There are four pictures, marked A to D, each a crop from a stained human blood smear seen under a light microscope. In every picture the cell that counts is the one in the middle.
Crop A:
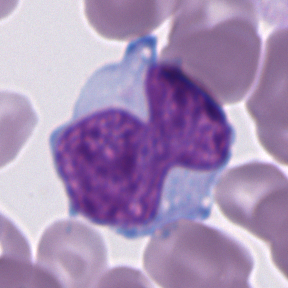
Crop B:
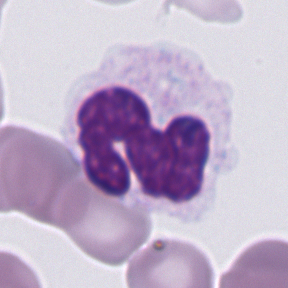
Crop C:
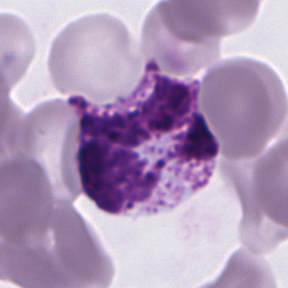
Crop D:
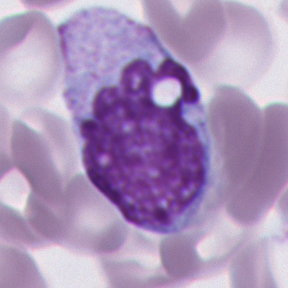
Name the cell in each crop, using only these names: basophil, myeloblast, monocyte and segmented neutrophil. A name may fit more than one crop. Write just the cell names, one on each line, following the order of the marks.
myeloblast
segmented neutrophil
basophil
monocyte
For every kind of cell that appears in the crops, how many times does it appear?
myeloblast: 1
segmented neutrophil: 1
basophil: 1
monocyte: 1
